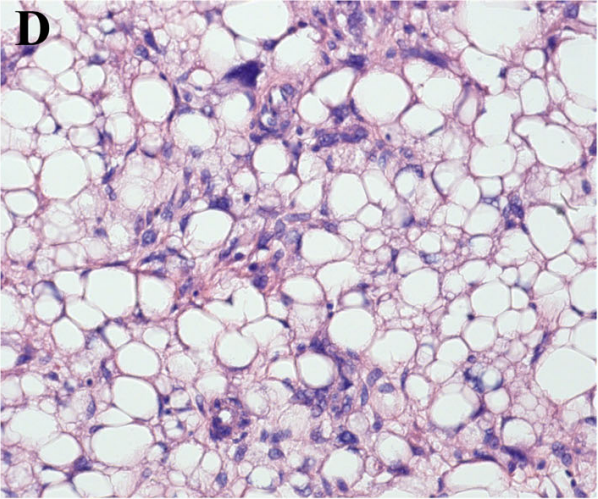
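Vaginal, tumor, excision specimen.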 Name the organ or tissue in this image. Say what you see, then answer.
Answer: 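Many clear, round vacuoles of varying size like fat cells. Scattered dark, irregular, enlarged nuclei among the vacuoles. Thin pink fibrous strands between the vacuoles.
Well-differentiated liposarcoma component.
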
